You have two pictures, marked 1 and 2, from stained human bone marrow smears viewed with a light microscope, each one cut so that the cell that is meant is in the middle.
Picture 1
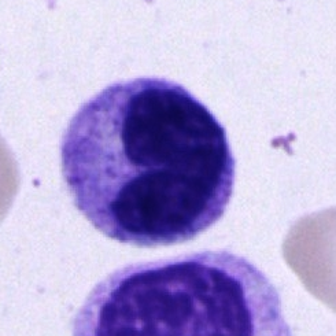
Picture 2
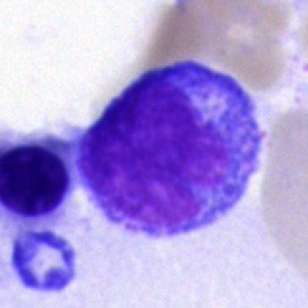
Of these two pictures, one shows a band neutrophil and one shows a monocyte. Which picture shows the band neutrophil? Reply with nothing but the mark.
1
